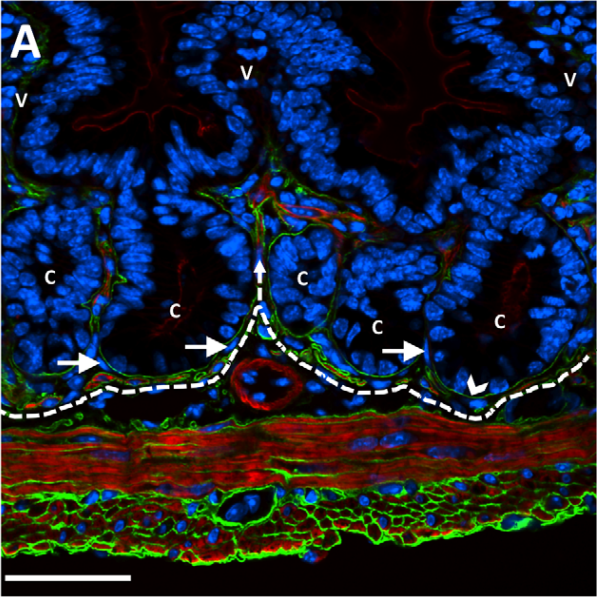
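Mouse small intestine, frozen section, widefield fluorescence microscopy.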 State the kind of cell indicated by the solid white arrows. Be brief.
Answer: Pericryptal fibroblasts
